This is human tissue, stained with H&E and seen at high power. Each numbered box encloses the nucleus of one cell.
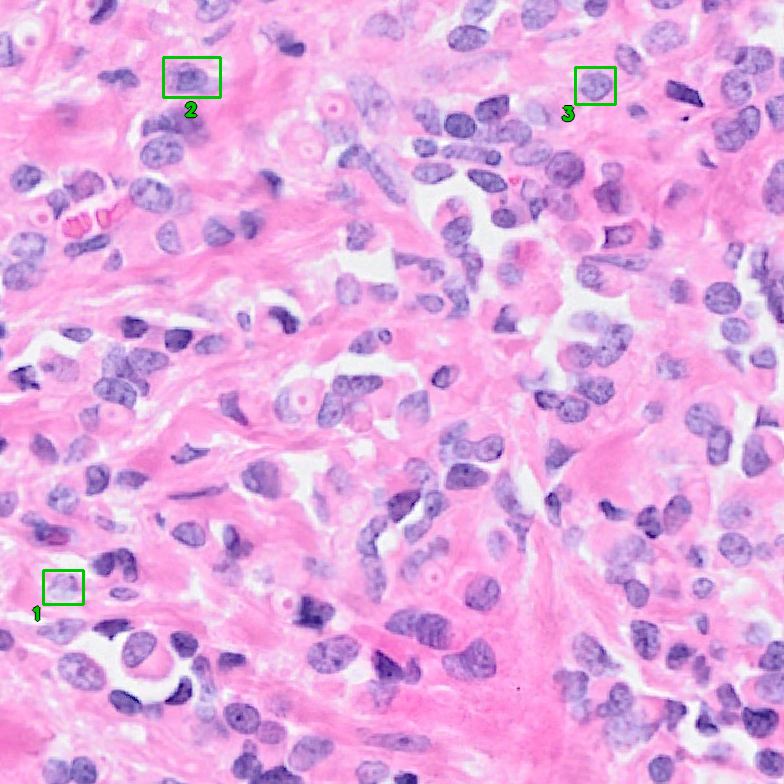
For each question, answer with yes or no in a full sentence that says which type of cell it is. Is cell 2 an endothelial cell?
Yes, the marked cell numbered 2 is an endothelial cell.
